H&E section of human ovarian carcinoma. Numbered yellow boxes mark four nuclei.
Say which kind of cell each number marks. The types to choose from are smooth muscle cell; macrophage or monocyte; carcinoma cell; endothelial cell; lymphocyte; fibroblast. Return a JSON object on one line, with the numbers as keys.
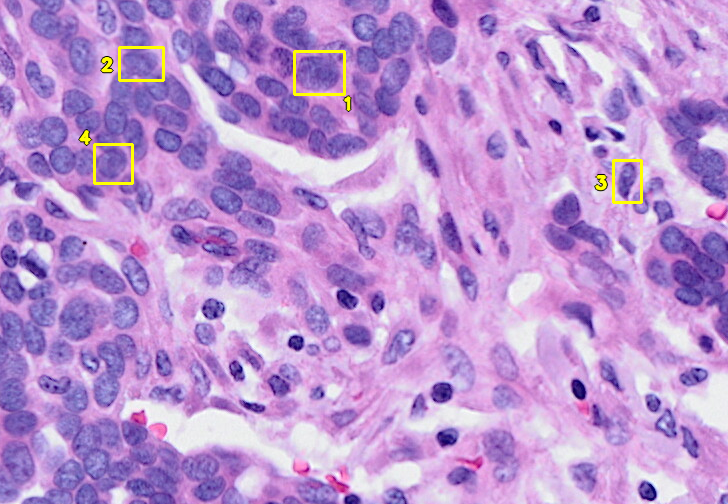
{"1": "carcinoma cell", "2": "carcinoma cell", "3": "fibroblast", "4": "carcinoma cell"}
